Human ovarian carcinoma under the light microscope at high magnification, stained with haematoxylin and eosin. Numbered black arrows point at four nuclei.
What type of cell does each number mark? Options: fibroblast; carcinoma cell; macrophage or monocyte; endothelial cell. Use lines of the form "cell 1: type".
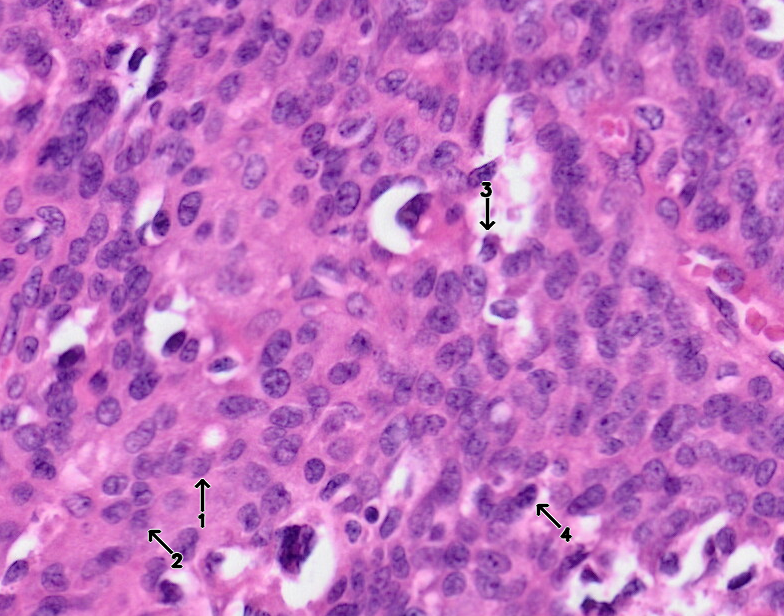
cell 1: carcinoma cell
cell 2: carcinoma cell
cell 3: macrophage or monocyte
cell 4: carcinoma cell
